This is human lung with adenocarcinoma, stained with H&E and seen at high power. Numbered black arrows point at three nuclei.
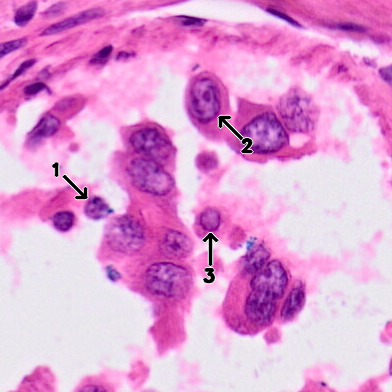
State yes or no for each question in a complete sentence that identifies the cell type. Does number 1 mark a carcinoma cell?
No, cell 1 is to be read as a lymphocyte, not a carcinoma cell.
